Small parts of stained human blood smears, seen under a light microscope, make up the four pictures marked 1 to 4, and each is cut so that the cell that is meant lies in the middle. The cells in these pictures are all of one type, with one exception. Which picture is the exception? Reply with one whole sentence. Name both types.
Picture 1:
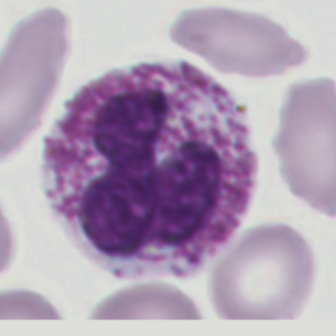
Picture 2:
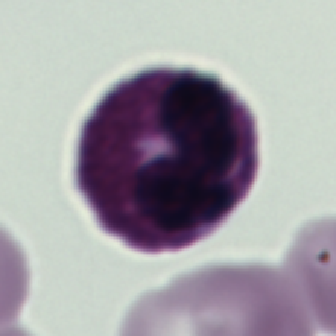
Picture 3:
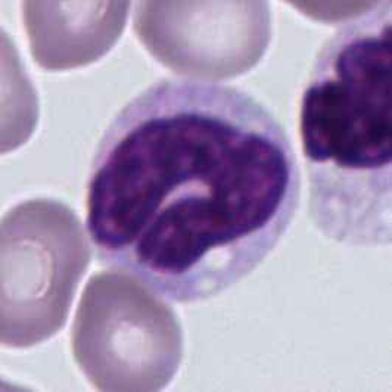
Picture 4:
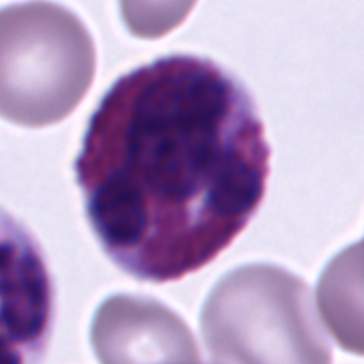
Unlike the rest, which show eosinophils, picture 3 shows a segmented neutrophil.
